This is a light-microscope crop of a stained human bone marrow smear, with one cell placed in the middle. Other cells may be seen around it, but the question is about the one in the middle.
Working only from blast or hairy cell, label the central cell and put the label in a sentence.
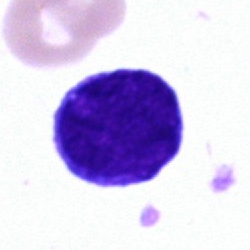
This crop's central cell is a blast.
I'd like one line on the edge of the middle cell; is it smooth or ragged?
In short, the margin is smooth with no projections at all.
